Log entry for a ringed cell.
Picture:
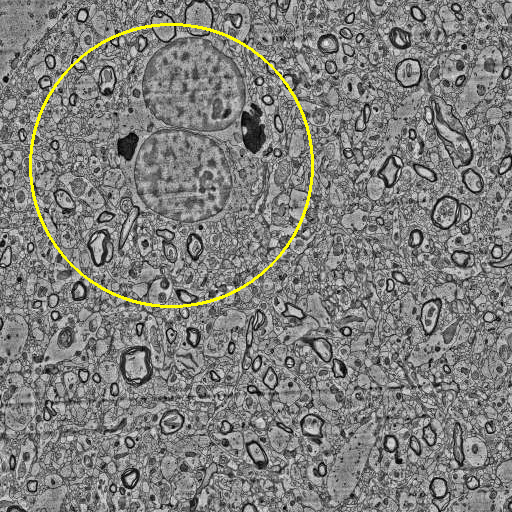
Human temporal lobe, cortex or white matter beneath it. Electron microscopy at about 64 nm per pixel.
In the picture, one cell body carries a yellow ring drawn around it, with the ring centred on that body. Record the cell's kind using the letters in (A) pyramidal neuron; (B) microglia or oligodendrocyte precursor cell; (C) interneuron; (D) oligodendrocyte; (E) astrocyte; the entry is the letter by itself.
D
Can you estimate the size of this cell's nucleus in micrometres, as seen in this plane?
Roughly 7 micrometers across, in this plane.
